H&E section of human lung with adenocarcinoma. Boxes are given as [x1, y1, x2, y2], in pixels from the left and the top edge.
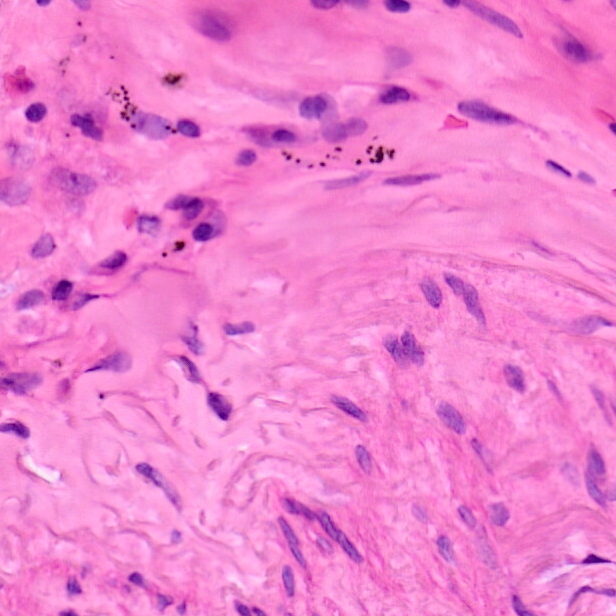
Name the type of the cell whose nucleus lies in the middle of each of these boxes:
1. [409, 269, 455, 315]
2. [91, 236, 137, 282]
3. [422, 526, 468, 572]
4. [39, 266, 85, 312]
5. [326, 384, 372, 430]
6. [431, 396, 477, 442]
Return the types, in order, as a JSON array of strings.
["smooth muscle cell or pericyte", "plasma cell", "smooth muscle cell or pericyte", "plasma cell", "smooth muscle cell or pericyte", "smooth muscle cell or pericyte"]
